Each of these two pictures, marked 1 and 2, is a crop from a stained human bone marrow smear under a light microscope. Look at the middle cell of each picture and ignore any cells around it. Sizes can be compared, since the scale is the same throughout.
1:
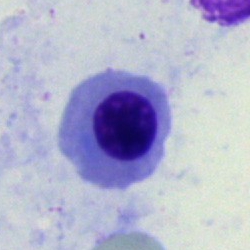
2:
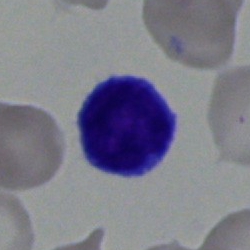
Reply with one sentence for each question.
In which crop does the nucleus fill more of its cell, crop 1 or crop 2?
Of the two, the nucleus in crop 2 makes up the greater part of its cell.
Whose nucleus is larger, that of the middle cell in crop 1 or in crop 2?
The nucleus in crop 2 is larger, with about 2 times the area of the one in crop 1.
